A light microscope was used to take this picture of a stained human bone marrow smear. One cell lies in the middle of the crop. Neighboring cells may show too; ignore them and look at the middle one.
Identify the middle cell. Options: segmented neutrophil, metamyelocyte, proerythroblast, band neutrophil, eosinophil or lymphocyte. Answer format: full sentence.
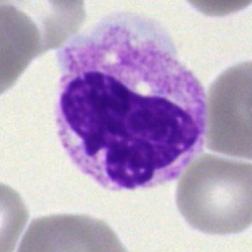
This crop has a segmented neutrophil at its centre.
